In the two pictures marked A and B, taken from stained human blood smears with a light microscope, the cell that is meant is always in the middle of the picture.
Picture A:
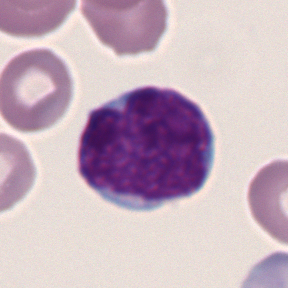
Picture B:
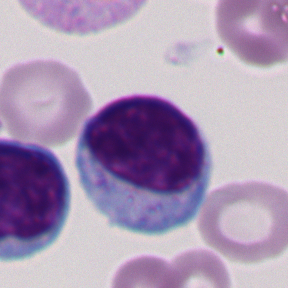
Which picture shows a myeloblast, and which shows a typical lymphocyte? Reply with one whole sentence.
It is picture A that shows a myeloblast, and picture B that shows a typical lymphocyte.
